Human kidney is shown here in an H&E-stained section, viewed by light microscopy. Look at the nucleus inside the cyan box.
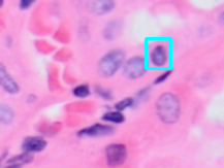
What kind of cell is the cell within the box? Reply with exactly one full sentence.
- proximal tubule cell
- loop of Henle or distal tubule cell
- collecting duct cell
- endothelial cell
Recorded by type, the cell within the box is a collecting duct cell.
